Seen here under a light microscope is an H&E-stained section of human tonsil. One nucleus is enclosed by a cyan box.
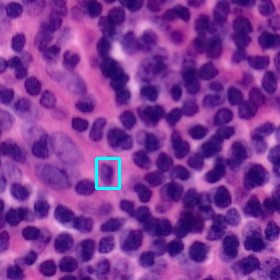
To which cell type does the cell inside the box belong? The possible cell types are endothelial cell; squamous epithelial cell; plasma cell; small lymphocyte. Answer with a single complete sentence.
As far as its identity is concerned, the cell inside the box is an endothelial cell.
